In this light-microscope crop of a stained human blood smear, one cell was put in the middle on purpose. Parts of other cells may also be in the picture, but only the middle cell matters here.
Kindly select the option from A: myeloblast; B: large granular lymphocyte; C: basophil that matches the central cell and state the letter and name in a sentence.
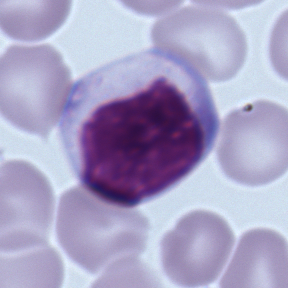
Given that the cell in the middle is a large granular lymphocyte, option B is correct.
